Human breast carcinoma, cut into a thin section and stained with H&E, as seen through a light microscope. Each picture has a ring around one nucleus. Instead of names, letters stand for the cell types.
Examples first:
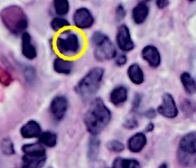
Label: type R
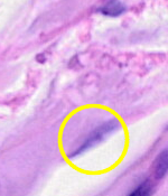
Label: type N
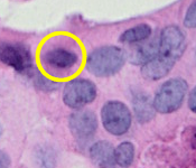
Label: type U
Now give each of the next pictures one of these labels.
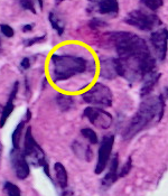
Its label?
type U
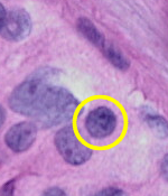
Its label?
type U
